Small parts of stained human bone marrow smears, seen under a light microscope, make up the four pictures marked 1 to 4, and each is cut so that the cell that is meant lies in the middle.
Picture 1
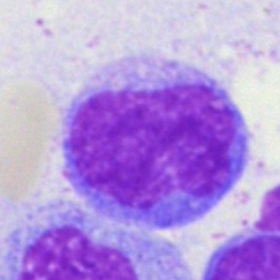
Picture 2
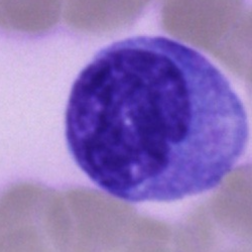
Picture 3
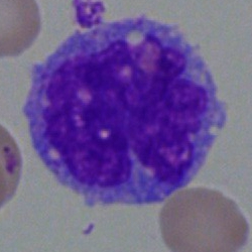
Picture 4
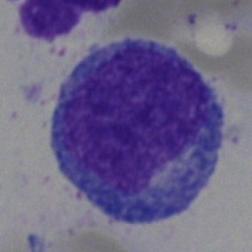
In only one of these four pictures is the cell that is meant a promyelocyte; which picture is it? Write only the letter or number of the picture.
4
